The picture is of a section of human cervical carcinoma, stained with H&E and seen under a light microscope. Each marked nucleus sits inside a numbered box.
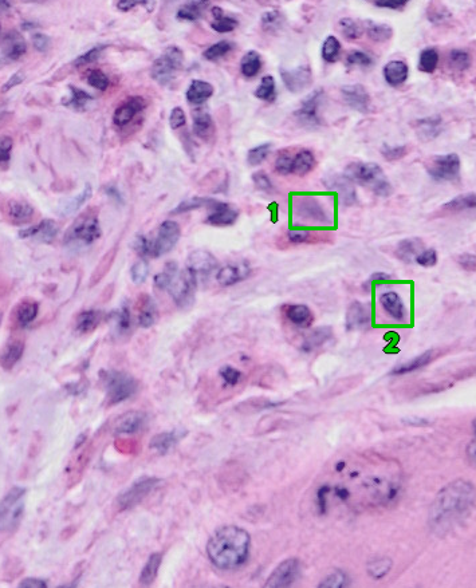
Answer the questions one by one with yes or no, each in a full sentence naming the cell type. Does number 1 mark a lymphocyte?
No, cell number 1 is identified as an endothelial cell, not as a lymphocyte.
